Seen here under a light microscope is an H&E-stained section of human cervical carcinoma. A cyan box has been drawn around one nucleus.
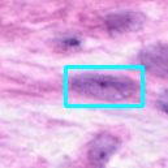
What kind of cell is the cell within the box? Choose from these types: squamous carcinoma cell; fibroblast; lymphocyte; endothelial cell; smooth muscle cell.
fibroblast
